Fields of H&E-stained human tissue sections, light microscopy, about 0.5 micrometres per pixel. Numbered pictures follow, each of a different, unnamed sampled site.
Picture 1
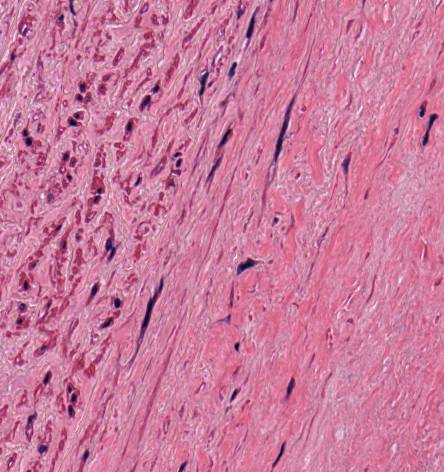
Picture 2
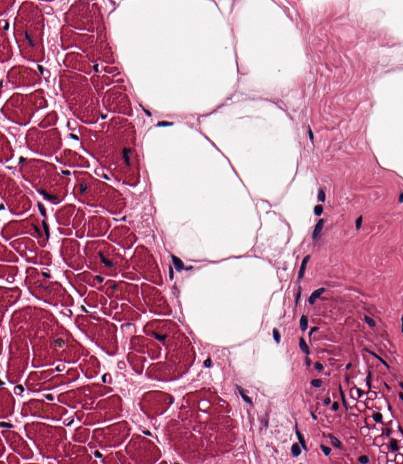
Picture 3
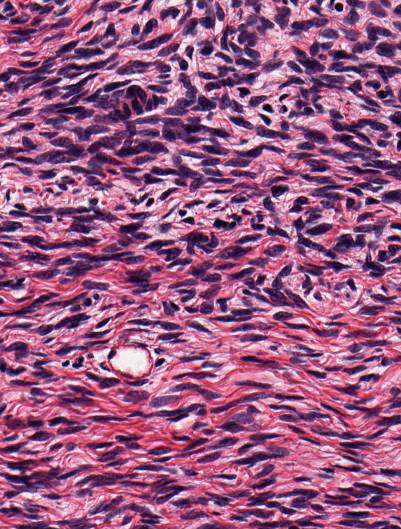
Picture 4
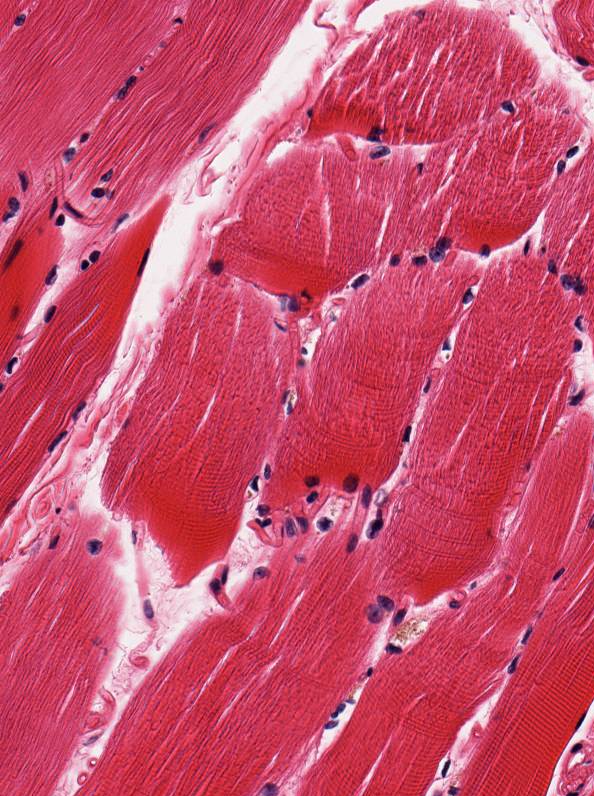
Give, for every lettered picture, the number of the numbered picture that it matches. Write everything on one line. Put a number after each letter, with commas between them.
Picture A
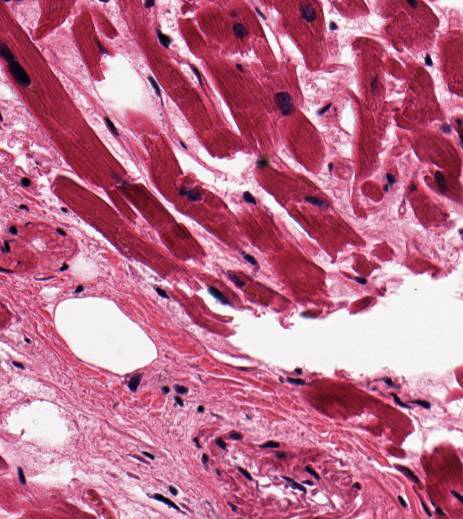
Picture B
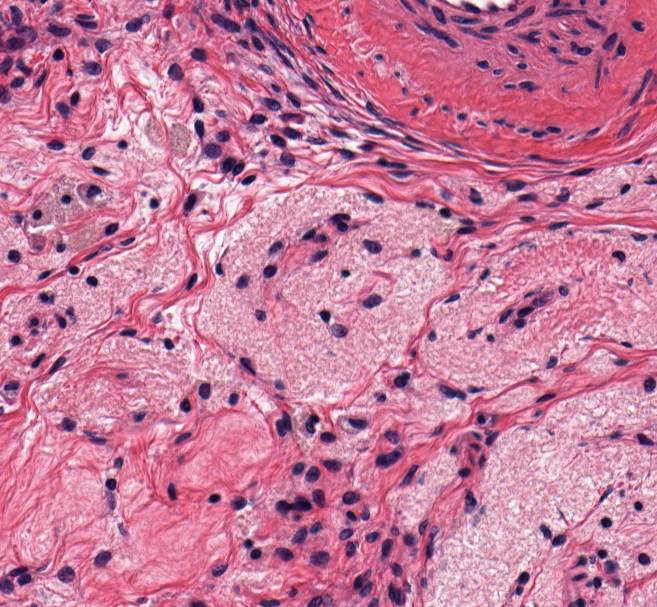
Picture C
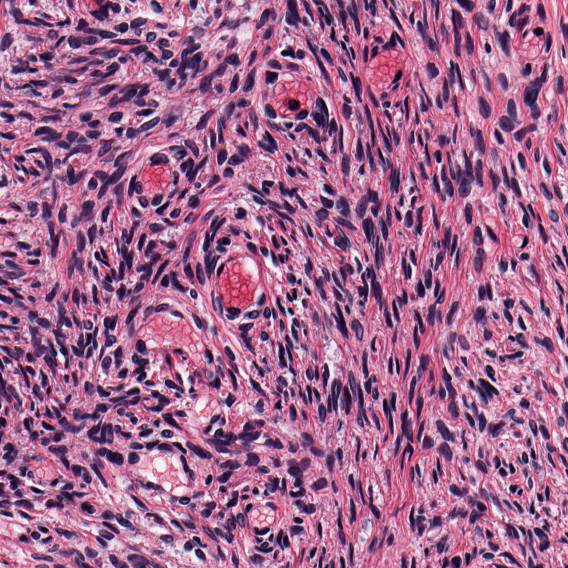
A 2, B 3, C 3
